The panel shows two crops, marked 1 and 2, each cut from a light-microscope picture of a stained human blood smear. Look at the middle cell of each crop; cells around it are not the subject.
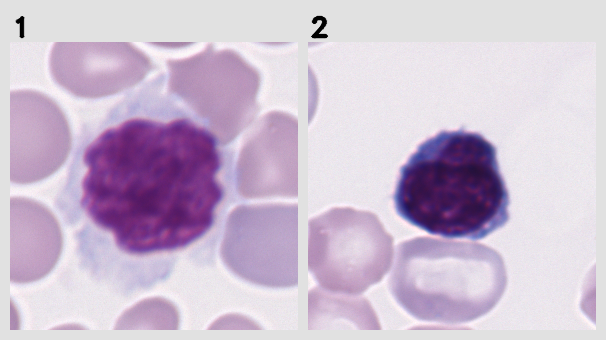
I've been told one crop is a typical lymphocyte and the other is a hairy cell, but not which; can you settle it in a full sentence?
Crop 1 is a hairy cell, whereas a typical lymphocyte is found in crop 2.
